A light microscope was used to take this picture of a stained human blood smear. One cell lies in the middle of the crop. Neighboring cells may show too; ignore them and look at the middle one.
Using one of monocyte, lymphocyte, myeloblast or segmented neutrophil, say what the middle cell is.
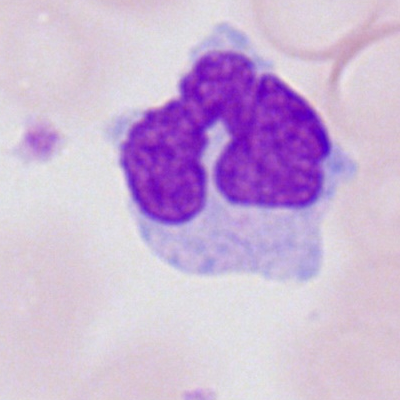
monocyte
